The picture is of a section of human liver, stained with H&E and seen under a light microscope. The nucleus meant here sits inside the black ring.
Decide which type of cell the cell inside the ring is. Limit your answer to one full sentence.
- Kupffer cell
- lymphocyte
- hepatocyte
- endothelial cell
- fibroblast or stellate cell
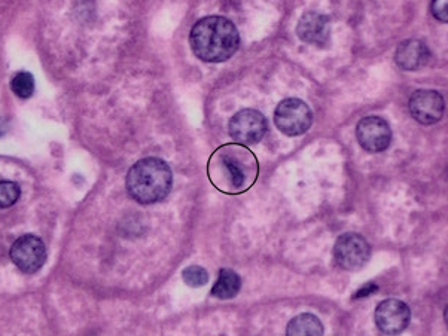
In this preparation, the cell inside the ring is an endothelial cell.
